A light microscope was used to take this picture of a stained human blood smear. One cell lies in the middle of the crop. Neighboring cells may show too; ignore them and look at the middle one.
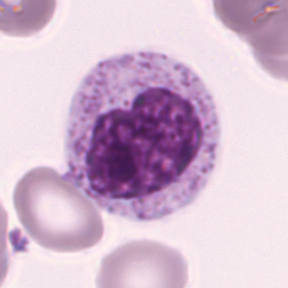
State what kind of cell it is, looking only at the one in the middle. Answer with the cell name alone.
metamyelocyte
